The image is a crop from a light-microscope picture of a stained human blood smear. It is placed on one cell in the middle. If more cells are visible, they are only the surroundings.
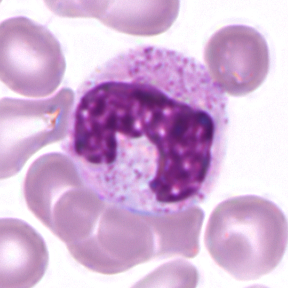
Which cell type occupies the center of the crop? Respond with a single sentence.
Standing at the centre of this crop is a band neutrophil.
